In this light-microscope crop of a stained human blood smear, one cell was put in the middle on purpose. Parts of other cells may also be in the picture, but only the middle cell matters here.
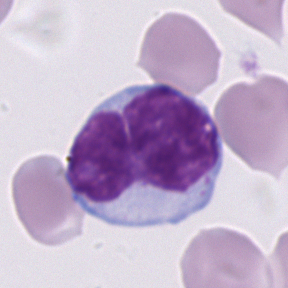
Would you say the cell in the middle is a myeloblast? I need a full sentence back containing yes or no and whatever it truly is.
Yes, placed in the middle of the crop is a myeloblast.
